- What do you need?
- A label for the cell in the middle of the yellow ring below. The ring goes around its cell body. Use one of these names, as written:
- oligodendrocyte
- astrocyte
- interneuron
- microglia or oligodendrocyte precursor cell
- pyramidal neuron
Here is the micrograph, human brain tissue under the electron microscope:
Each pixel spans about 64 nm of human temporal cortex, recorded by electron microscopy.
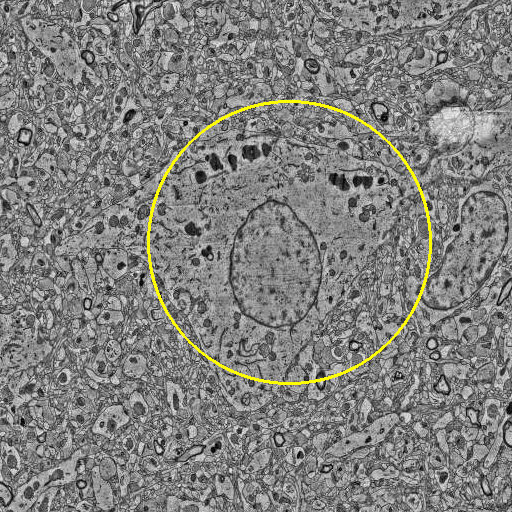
pyramidal neuron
